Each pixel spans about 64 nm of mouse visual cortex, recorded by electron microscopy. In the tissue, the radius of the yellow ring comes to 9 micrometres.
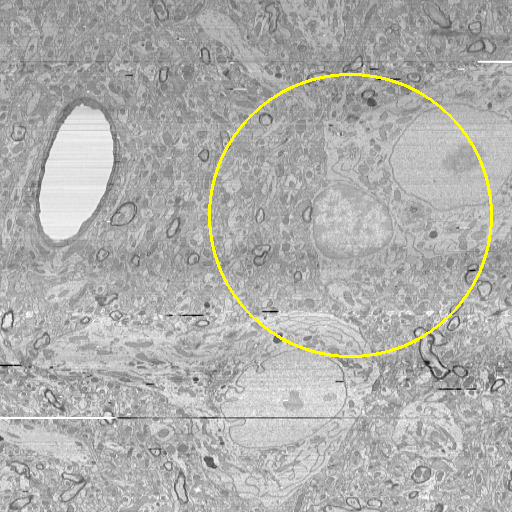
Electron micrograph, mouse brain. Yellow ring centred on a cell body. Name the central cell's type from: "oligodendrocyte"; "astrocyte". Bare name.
oligodendrocyte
